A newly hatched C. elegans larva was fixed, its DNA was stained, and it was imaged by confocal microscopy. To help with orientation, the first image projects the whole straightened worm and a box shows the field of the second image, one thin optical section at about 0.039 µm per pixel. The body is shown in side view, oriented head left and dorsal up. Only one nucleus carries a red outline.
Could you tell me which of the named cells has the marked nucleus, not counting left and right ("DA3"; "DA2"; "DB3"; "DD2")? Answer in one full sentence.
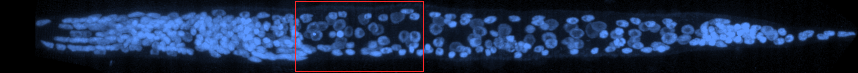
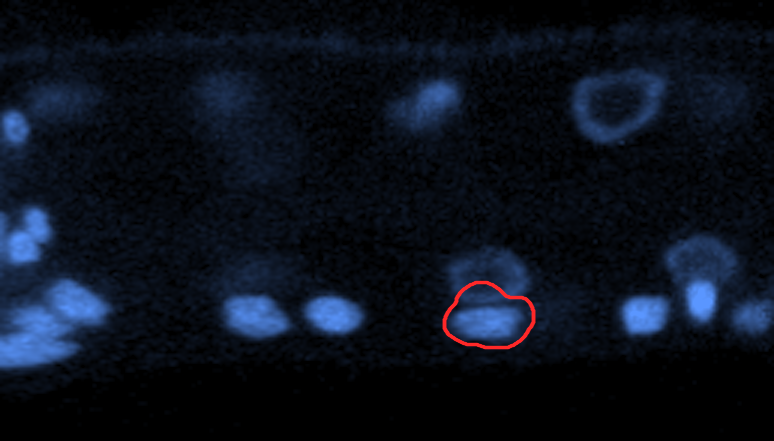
The nucleus is from DD2, a neuron.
